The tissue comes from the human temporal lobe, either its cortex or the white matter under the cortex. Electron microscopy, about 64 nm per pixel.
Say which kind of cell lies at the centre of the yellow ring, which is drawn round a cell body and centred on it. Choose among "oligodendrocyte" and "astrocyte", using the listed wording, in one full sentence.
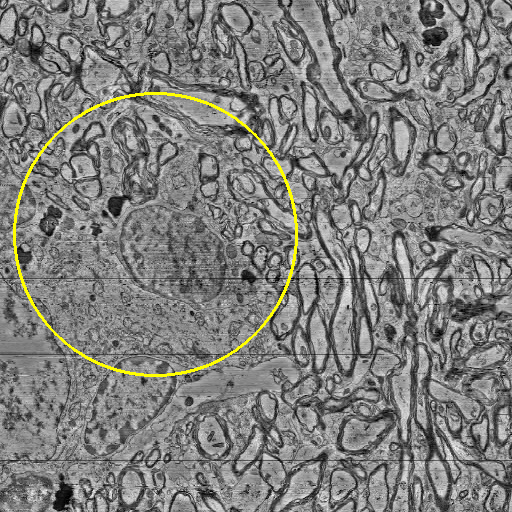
Going by the list, the cell at the yellow ring's centre is an oligodendrocyte.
